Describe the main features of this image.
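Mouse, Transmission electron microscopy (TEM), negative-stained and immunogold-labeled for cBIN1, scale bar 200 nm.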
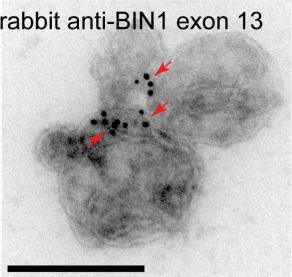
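Several rounded to oval vesicles of unequal size lie pressed together in a small cluster, each bounded by a thin pale rim against the grey background and holding a mottled, granular interior of darker patches. The vesicles have no nuclei or recognisable organelles. Small, uniform, very dark round gold particles gather in a loose group where the vesicles meet, on and between their surfaces; red arrows point to some of these particles. The rest of the vesicle surfaces carry no particles.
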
